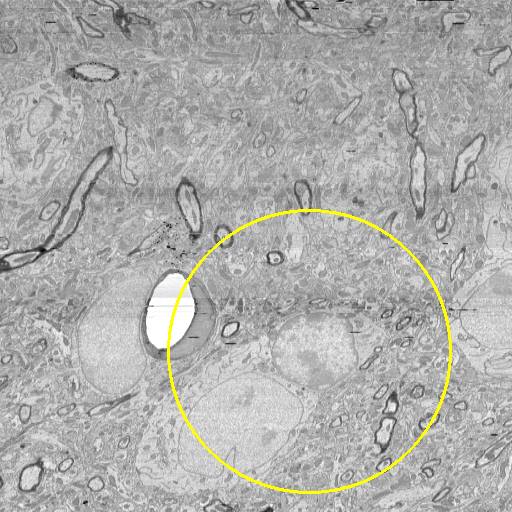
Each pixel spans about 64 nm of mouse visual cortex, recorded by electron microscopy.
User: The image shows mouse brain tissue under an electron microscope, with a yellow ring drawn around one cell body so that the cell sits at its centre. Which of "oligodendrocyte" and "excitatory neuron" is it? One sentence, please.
At the centre of the ring sits an oligodendrocyte.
